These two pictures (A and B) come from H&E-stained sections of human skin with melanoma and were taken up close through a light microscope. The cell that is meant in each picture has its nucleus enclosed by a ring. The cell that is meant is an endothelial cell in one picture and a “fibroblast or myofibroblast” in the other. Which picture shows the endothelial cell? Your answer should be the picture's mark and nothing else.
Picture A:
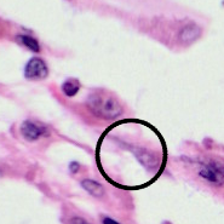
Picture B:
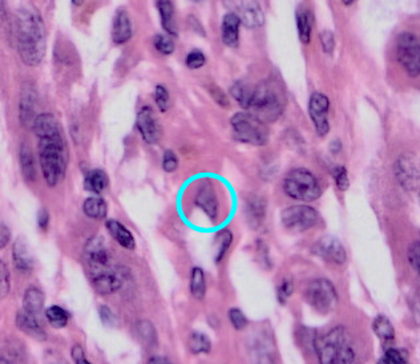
B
